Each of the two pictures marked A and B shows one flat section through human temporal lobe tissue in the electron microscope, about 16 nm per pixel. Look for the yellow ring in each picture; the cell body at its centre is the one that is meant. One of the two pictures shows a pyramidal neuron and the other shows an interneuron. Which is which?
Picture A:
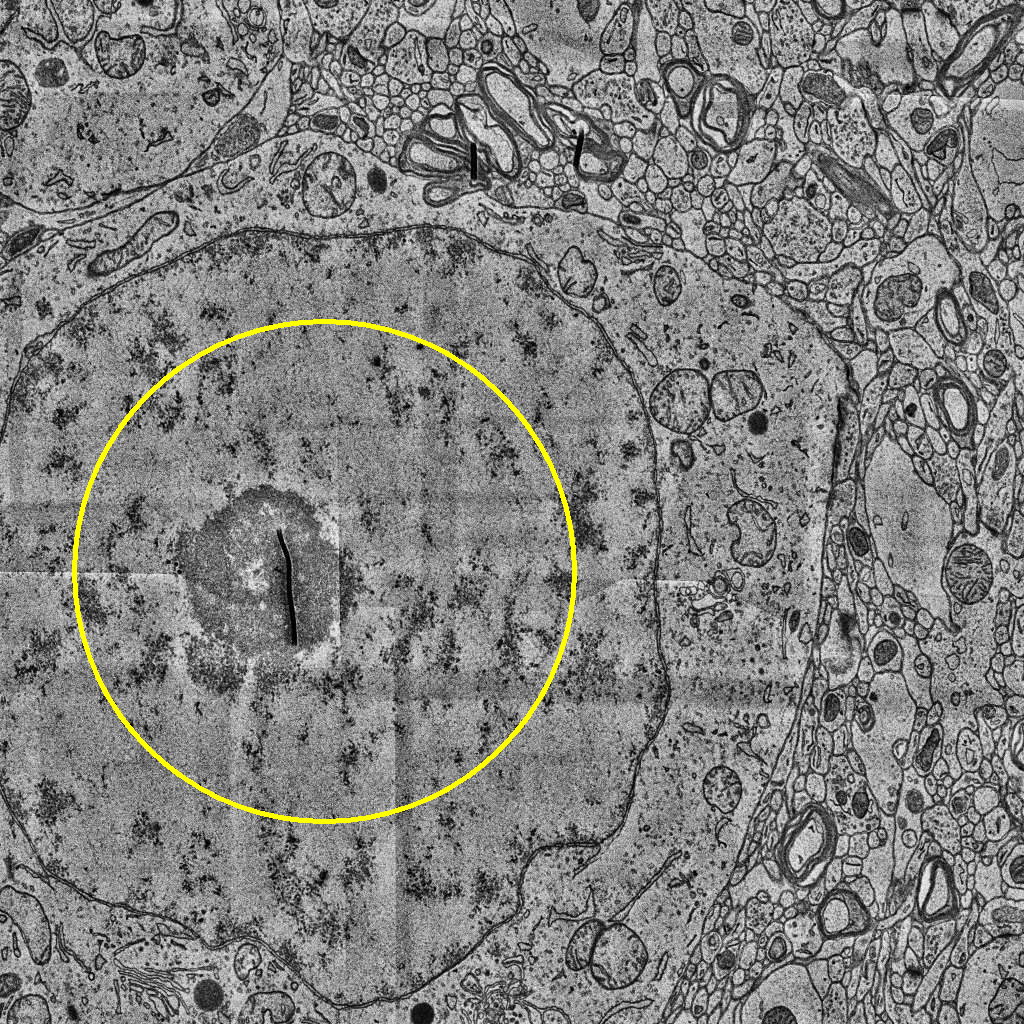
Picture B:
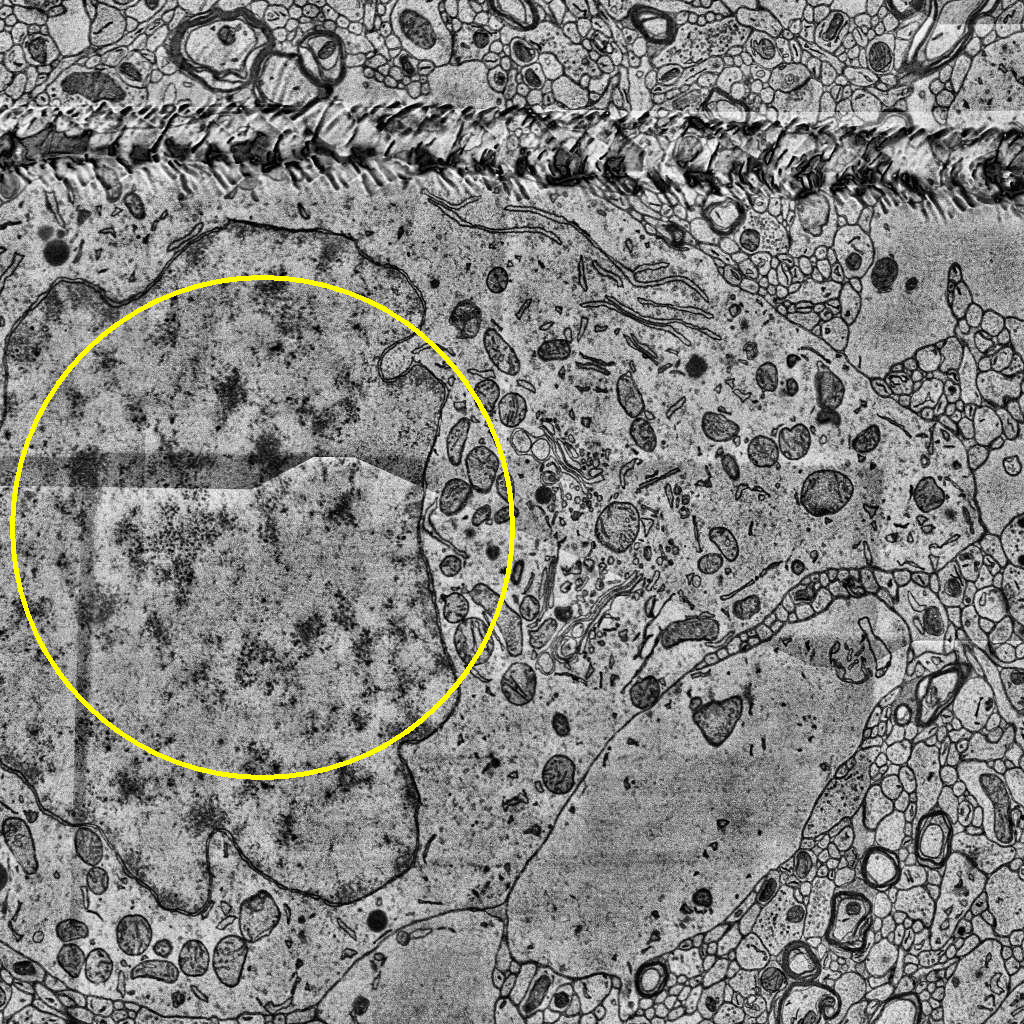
In picture A the cell is a pyramidal neuron; in picture B, an interneuron.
